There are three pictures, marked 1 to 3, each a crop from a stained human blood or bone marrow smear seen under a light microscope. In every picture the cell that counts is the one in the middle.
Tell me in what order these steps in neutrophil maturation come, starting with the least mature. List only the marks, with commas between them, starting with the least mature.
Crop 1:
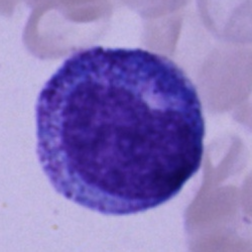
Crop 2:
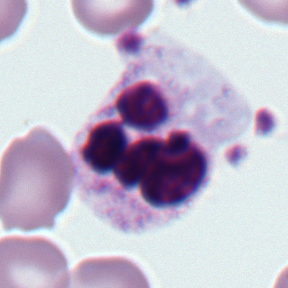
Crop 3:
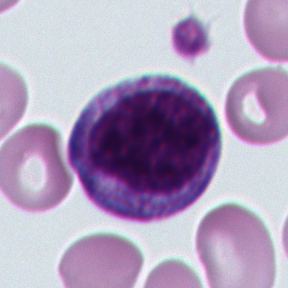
1, 3, 2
